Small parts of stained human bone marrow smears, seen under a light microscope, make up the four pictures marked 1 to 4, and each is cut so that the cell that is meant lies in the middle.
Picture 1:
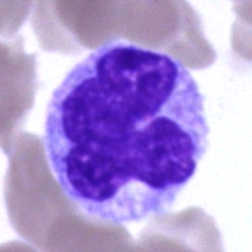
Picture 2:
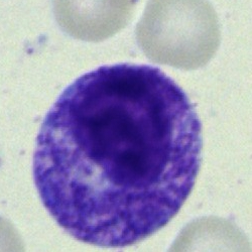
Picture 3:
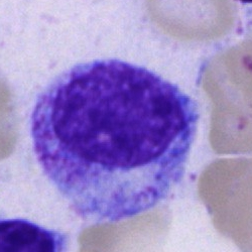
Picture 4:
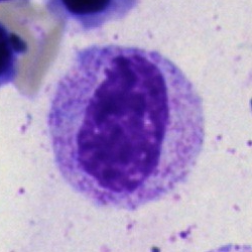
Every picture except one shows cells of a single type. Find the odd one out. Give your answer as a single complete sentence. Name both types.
Picture 1 is the odd one out: it shows a monocyte, while the others show myelocytes.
